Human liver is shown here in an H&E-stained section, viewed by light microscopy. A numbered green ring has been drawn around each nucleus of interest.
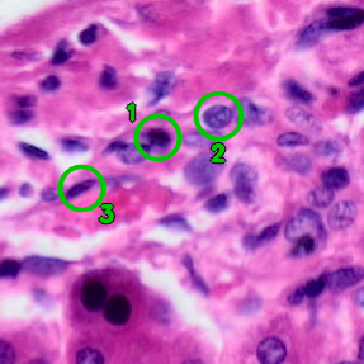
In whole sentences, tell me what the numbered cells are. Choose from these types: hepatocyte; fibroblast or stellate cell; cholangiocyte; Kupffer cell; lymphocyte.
Cells 1 and 2 are cholangiocytes. Cell 3 is a fibroblast or stellate cell.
